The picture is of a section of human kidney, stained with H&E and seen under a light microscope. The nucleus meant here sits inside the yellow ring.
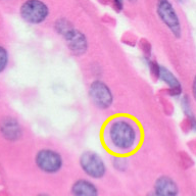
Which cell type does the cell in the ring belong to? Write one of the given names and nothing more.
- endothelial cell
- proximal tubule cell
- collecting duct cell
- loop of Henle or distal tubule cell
loop of Henle or distal tubule cell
